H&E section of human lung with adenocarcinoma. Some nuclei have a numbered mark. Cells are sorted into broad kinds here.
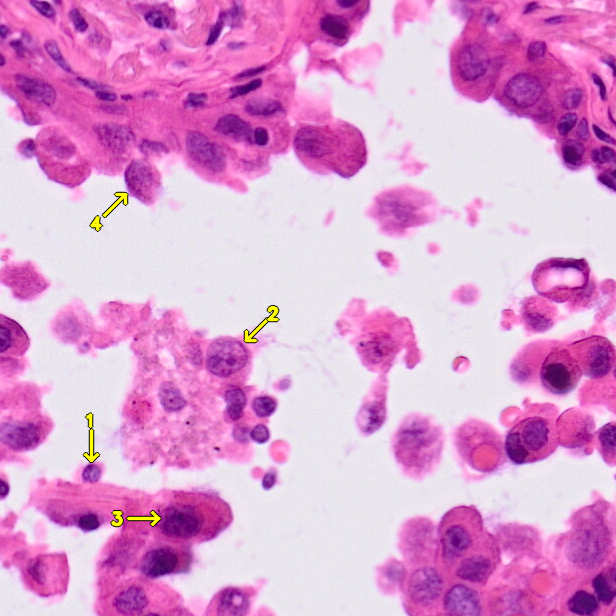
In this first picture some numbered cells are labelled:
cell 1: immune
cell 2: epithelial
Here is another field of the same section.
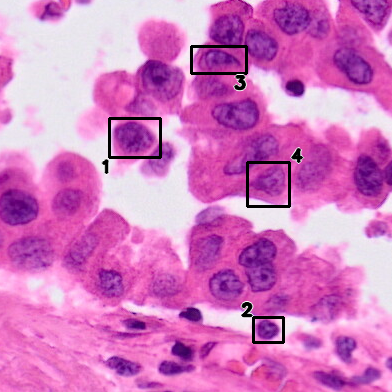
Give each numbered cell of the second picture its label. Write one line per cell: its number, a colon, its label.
1: epithelial
2: immune
3: epithelial
4: epithelial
